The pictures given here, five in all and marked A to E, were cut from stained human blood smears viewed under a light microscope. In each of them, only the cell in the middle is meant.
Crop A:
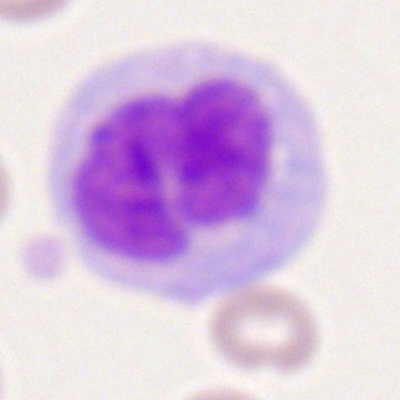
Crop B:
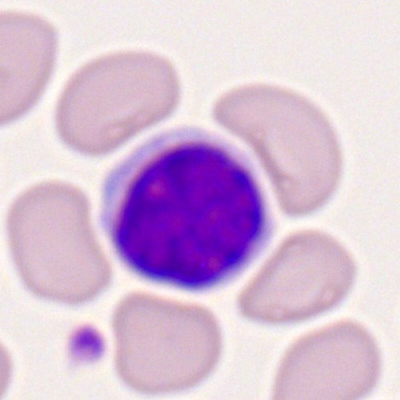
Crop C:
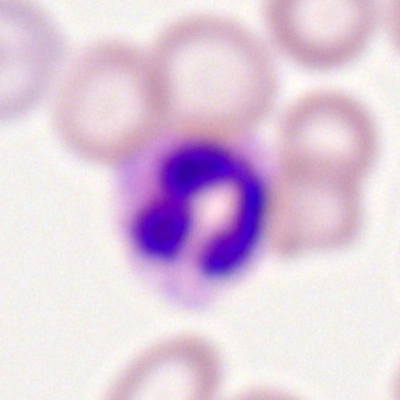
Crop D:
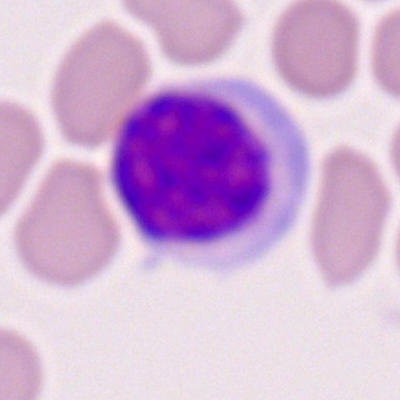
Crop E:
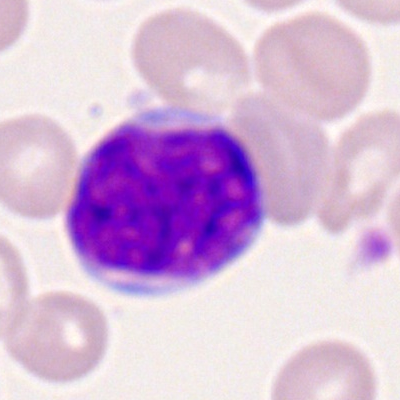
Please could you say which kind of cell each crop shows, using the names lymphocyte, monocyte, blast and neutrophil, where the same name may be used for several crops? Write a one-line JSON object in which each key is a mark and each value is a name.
{"A": "monocyte", "B": "lymphocyte", "C": "neutrophil", "D": "lymphocyte", "E": "blast"}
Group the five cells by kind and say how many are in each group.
lymphocyte: 2
monocyte: 1
neutrophil: 1
blast: 1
